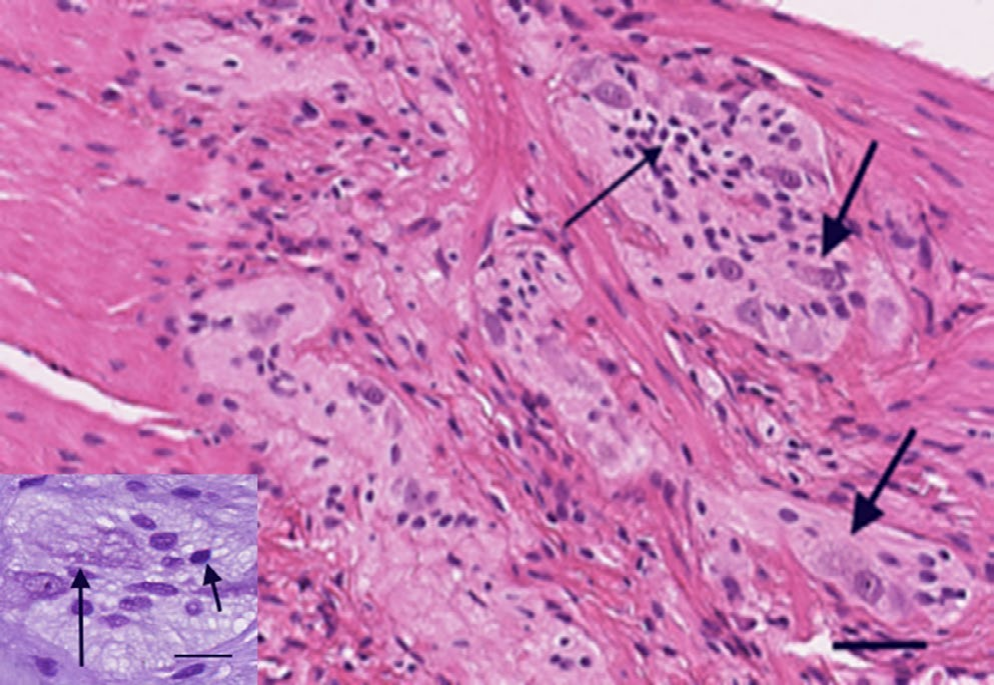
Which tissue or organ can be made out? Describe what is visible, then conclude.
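Myenteric ganglia. Rounded clusters of large cells with pale cytoplasm lie between bundles of pink smooth muscle. The clusters are separated by strands of fibrous tissue.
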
